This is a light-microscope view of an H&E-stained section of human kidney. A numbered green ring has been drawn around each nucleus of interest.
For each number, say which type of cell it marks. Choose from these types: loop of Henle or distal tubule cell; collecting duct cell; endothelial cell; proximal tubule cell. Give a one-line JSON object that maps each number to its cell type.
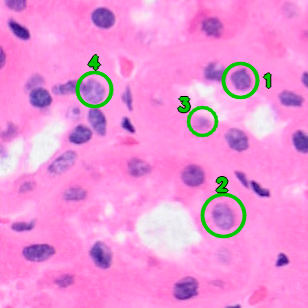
{"1": "loop of Henle or distal tubule cell", "2": "proximal tubule cell", "3": "loop of Henle or distal tubule cell", "4": "collecting duct cell"}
